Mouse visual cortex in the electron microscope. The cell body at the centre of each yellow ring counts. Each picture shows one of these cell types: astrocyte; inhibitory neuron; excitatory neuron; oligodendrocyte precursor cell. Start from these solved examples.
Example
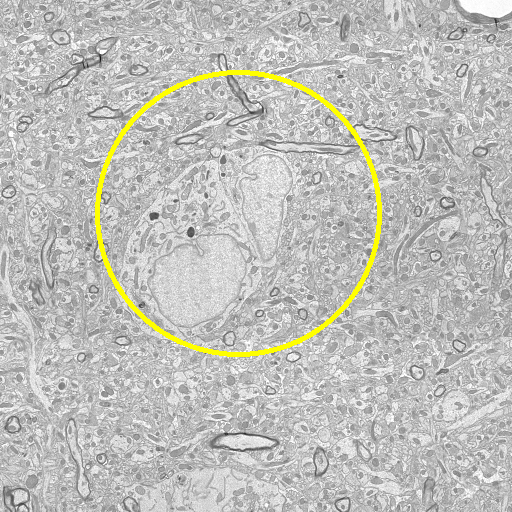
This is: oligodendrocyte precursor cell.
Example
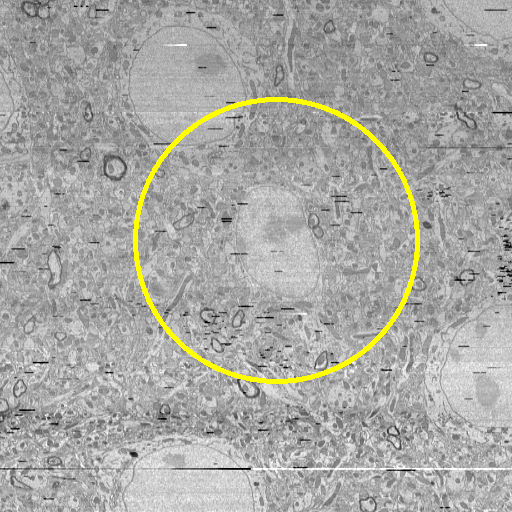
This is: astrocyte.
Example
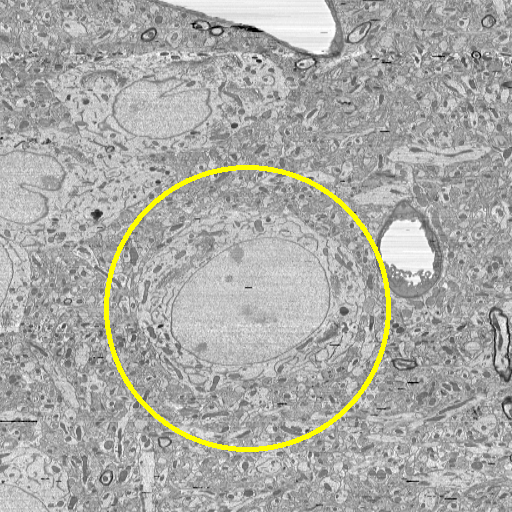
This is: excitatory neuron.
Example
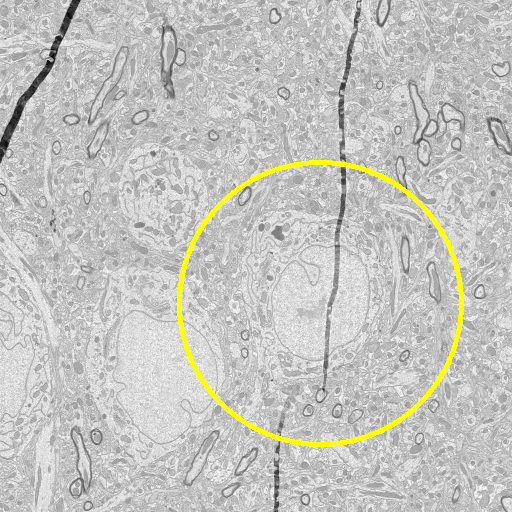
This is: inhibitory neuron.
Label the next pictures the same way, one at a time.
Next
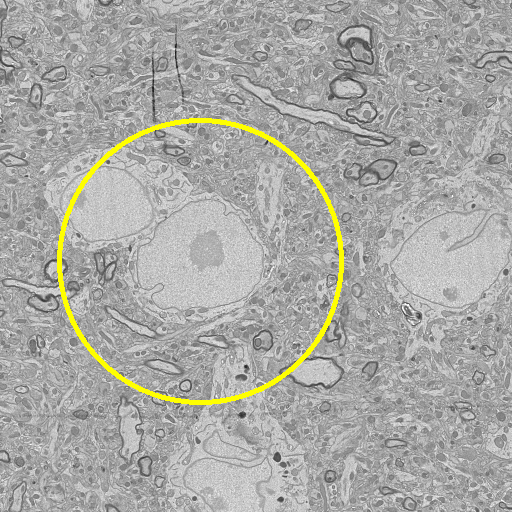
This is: inhibitory neuron.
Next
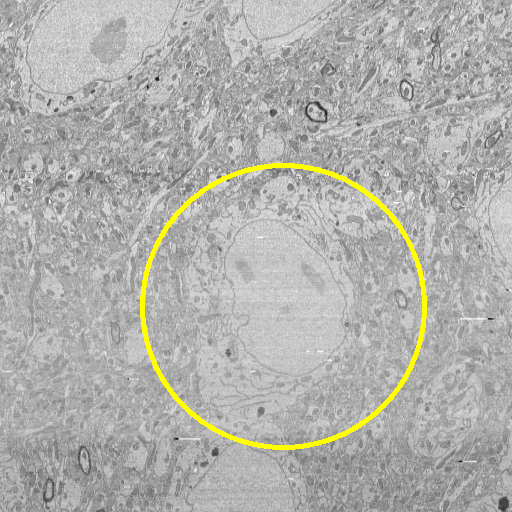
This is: excitatory neuron.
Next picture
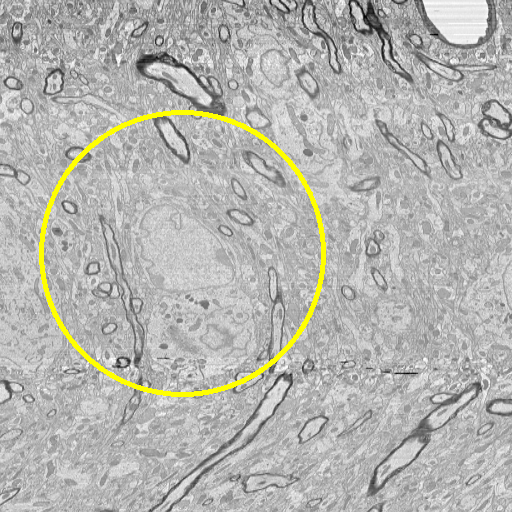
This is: oligodendrocyte precursor cell.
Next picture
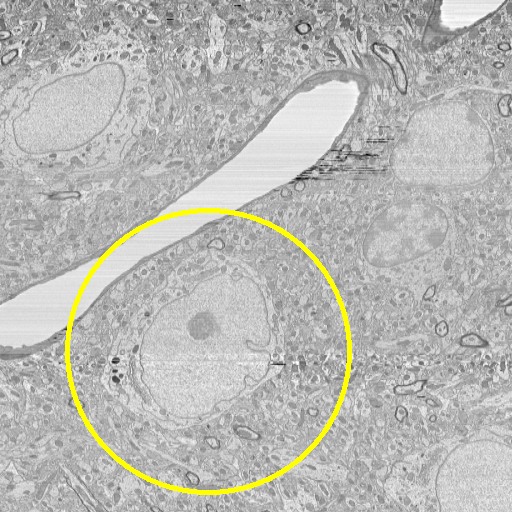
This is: inhibitory neuron.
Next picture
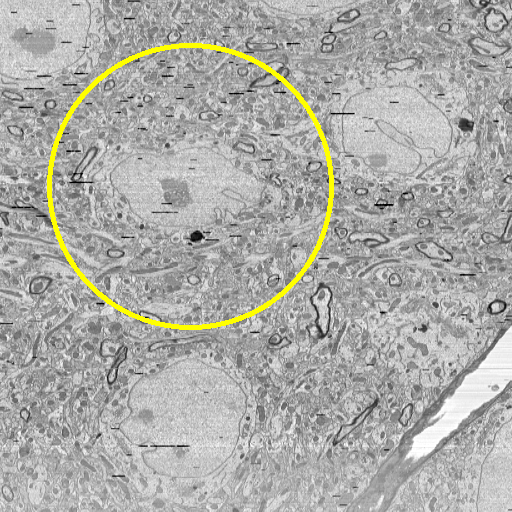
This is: inhibitory neuron.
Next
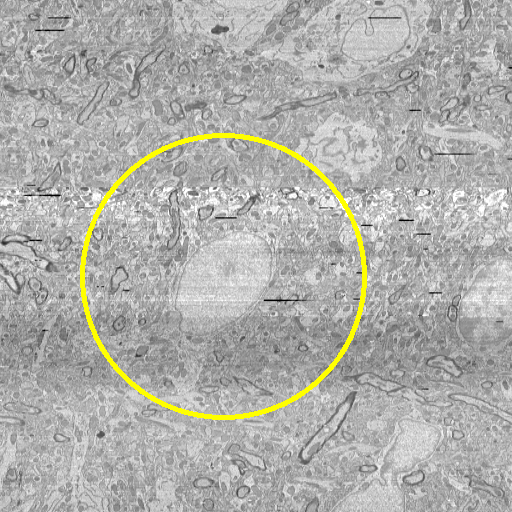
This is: astrocyte.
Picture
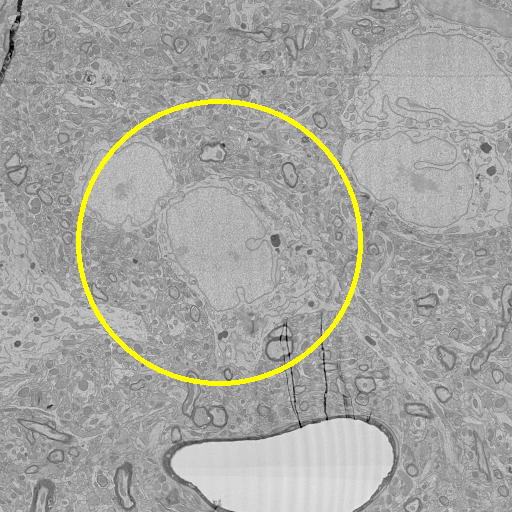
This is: inhibitory neuron.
